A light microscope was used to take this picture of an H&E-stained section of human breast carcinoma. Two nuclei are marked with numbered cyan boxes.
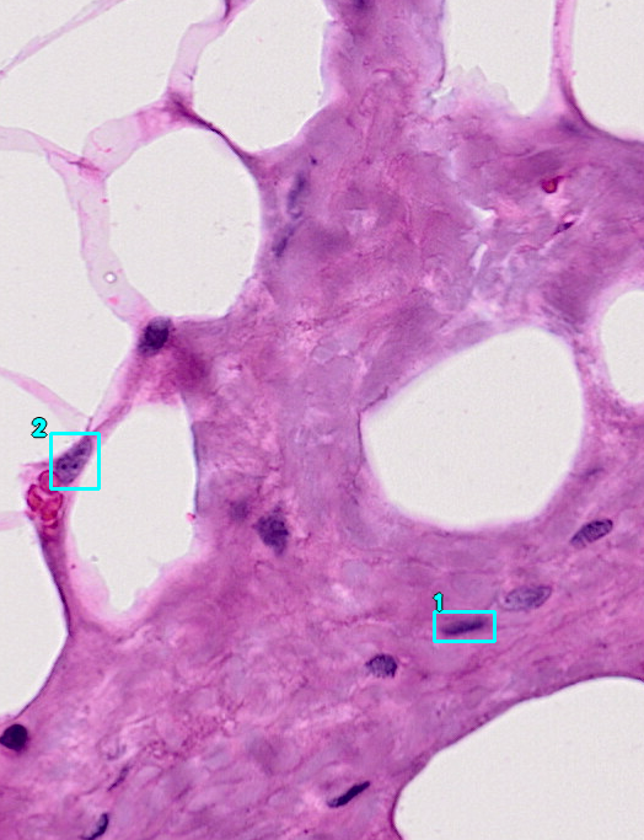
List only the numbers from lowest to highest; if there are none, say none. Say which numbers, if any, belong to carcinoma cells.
none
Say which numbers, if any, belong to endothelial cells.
2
